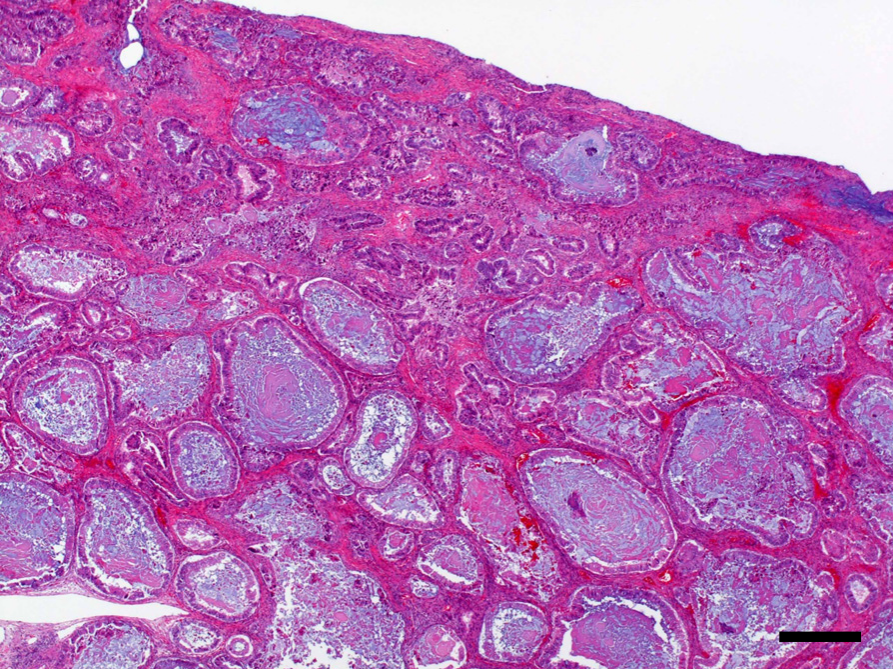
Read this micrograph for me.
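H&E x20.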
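At low power, this tissue is crowded with rounded cysts of many sizes, each lined by a thin single rim of epithelial cells with dark purple nuclei. The cysts are filled with pale blue-purple, partly layered material mixed with scattered debris. Bands of pink fibrous stroma with small patches of red blood cells separate them, while the upper part of the field holds smaller, irregular, branching gland-like tubules lined by the same purple epithelium.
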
